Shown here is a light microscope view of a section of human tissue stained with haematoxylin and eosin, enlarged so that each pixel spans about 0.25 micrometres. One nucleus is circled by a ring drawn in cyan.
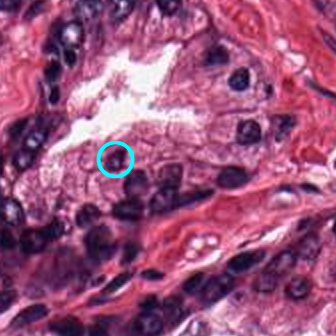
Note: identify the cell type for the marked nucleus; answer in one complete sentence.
What the marked nucleus belongs to is a prostate gland luminal cell.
